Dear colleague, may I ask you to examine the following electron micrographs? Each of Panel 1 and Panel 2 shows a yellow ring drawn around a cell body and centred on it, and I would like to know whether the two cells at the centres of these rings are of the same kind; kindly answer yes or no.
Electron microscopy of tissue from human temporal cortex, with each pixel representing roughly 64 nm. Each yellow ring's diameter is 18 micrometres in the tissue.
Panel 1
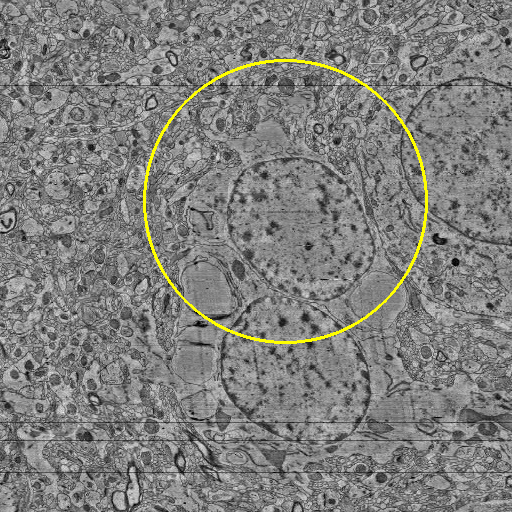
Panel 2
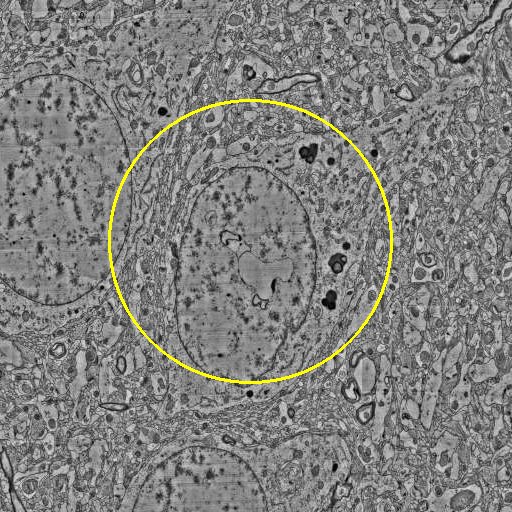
no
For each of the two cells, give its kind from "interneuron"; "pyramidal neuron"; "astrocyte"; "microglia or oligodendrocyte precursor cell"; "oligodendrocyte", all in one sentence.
The first picture has an astrocyte in its ring, the second has a pyramidal neuron.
